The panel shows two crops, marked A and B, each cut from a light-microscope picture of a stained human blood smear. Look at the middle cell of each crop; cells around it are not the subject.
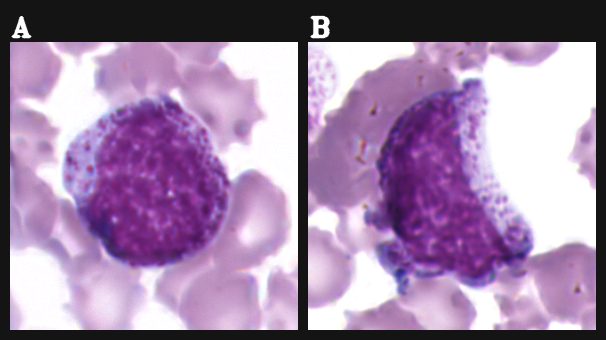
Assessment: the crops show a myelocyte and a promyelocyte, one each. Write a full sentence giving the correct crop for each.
Crop A contains a myelocyte, and crop B, a promyelocyte.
